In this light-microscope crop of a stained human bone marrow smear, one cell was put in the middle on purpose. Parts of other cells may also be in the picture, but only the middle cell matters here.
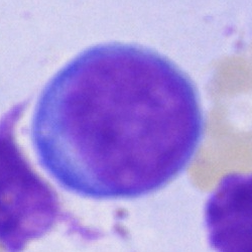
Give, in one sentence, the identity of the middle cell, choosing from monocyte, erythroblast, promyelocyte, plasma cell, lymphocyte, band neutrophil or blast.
Among the cells in view, the one in the middle is a blast.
